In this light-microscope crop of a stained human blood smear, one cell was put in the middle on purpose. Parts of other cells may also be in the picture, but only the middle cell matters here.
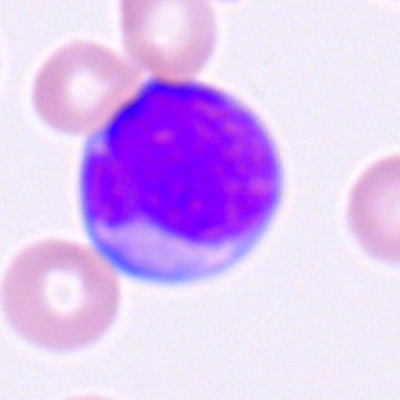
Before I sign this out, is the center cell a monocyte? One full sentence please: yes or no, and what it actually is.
No, the cell at the centre of the crop corresponds to a blast, not a monocyte.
